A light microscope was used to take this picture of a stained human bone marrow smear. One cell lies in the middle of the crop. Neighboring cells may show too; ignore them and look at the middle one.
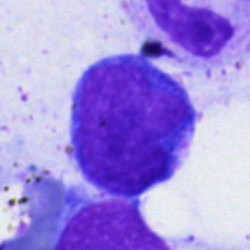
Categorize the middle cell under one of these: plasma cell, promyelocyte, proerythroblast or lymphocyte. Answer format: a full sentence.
For this crop, the cell in the middle is a lymphocyte.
